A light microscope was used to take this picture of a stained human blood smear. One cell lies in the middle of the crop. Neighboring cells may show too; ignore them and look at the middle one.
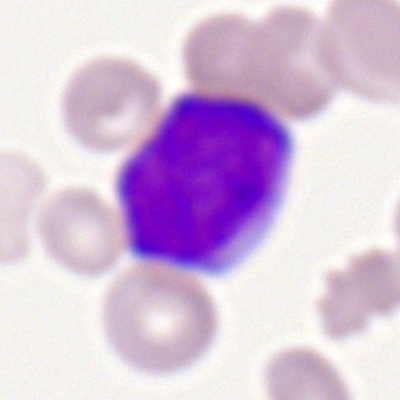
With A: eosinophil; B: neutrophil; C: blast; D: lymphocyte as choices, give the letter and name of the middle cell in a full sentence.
The right choice is option C: the cell in the middle is a blast.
